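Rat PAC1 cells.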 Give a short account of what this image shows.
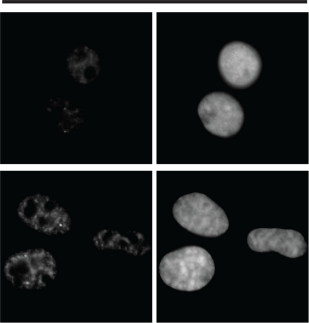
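In the left-hand column the signal lies within the nuclear outlines as a granular, speckled pattern. The speckled nuclear signal is brighter and more extensive in the lower row than in the upper row, where it is faint and patchy.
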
